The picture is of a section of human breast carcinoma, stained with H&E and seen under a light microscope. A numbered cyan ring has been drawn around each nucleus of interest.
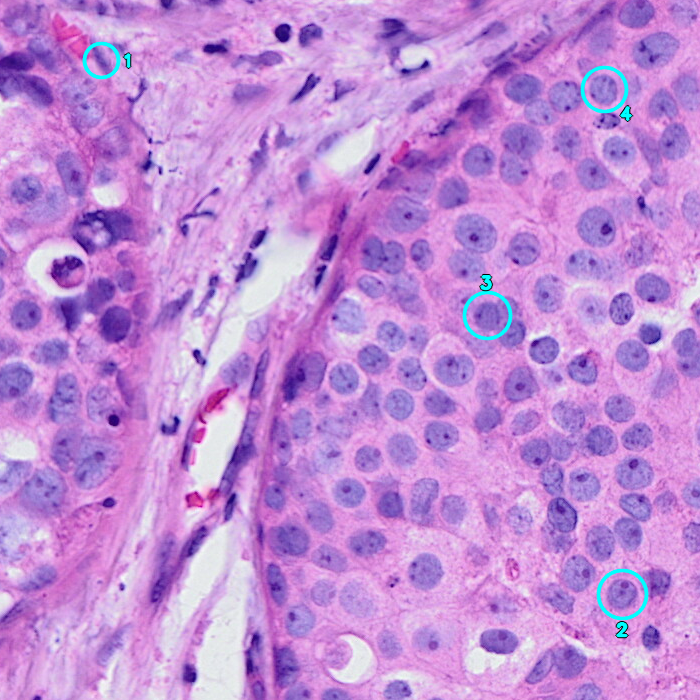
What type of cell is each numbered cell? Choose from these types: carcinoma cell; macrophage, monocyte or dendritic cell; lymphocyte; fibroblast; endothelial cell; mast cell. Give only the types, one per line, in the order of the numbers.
endothelial cell
carcinoma cell
carcinoma cell
carcinoma cell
